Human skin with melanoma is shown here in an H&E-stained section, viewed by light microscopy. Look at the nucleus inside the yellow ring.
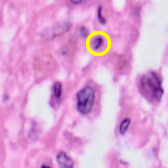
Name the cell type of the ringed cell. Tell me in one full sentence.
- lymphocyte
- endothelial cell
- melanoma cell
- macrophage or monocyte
The cell type of the ringed cell is that of a macrophage or monocyte.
